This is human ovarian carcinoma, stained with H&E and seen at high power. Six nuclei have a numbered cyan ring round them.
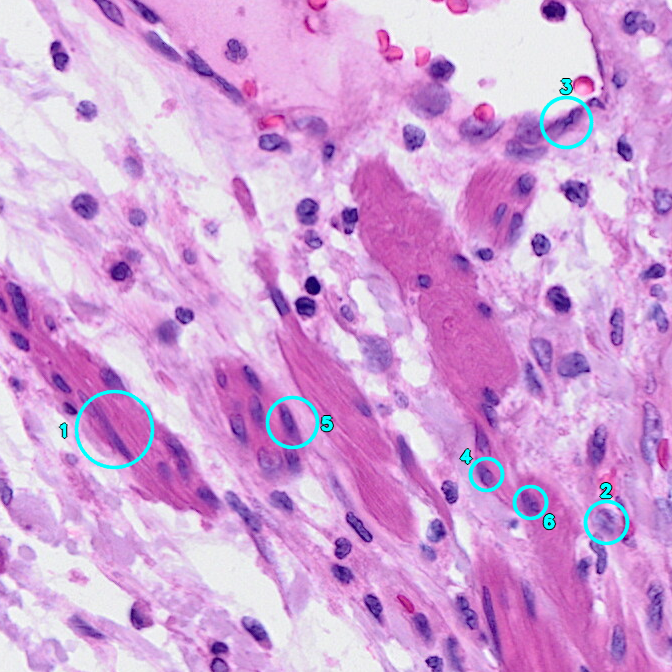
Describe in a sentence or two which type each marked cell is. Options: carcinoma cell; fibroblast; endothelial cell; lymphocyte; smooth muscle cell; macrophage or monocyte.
Cell 1 is a smooth muscle cell, cell 2 is an endothelial cell, cell 3 is an endothelial cell, cell 4 is a smooth muscle cell, cell 5 is a smooth muscle cell and cell 6 is a smooth muscle cell.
